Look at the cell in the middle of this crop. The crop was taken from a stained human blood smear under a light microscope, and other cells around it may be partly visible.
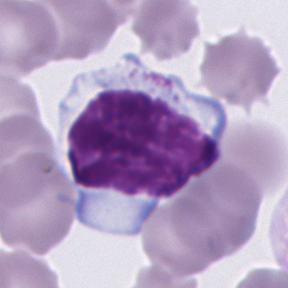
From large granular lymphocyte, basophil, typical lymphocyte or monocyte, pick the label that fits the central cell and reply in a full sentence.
The crop's centre is taken up by a large granular lymphocyte.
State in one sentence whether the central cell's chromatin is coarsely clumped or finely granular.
The chromatin within its nucleus forms coarse clumps.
